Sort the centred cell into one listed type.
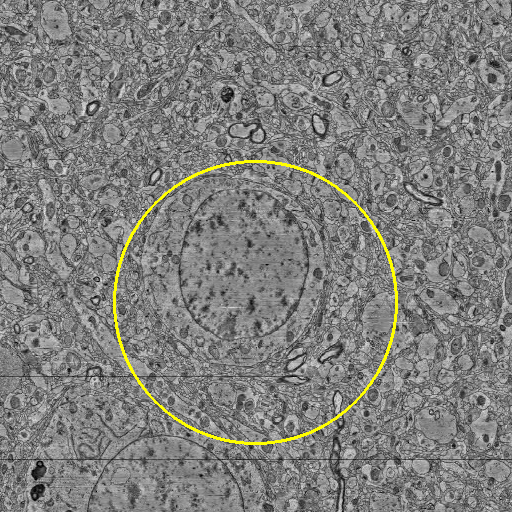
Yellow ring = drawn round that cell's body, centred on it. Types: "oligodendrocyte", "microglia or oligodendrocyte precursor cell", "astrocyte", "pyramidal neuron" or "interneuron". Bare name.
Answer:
pyramidal neuron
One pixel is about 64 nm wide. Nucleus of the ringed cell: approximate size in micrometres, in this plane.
The nucleus is about 9 micrometres across in this plane.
